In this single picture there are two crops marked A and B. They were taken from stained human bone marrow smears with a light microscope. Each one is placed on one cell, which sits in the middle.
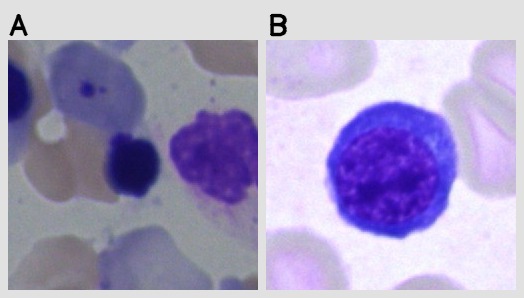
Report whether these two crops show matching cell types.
yes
